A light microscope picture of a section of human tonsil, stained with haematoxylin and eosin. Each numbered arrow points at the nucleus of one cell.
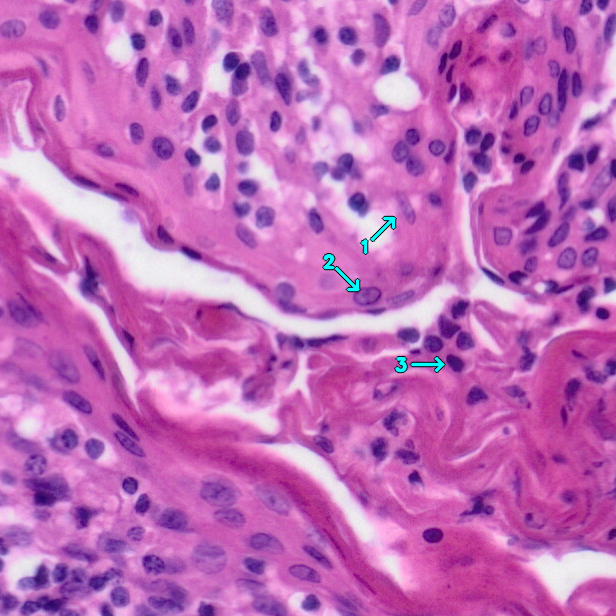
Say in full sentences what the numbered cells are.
Cells 1 and 2 are squamous epithelial cells. Cell 3 is a plasma cell.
